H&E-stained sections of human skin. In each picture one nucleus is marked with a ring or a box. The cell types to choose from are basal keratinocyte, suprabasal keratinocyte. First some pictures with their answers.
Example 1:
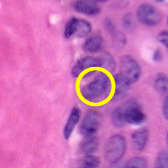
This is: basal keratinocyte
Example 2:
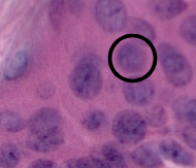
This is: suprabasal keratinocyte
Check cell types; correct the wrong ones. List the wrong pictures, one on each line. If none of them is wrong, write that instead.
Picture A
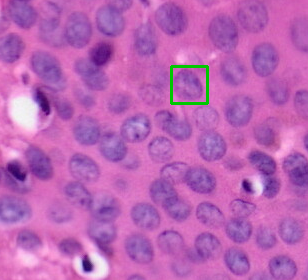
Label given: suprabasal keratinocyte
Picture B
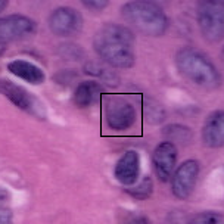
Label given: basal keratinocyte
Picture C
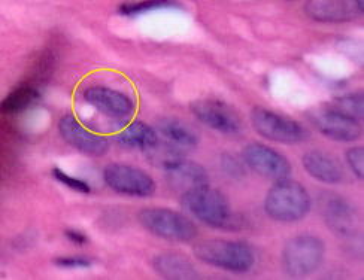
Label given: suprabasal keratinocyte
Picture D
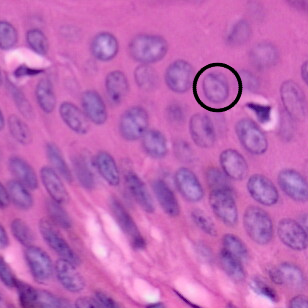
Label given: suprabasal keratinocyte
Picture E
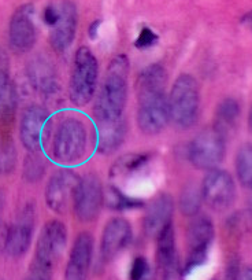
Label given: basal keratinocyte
C is labelled suprabasal keratinocyte; correct label: basal keratinocyte
E is labelled basal keratinocyte; correct label: suprabasal keratinocyte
